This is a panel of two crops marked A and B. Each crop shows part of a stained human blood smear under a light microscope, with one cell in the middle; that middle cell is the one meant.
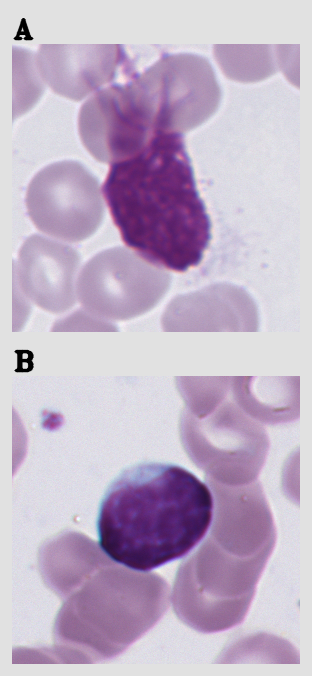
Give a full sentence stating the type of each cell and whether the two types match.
No, record crop A as a smudge cell and crop B as a typical lymphocyte.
